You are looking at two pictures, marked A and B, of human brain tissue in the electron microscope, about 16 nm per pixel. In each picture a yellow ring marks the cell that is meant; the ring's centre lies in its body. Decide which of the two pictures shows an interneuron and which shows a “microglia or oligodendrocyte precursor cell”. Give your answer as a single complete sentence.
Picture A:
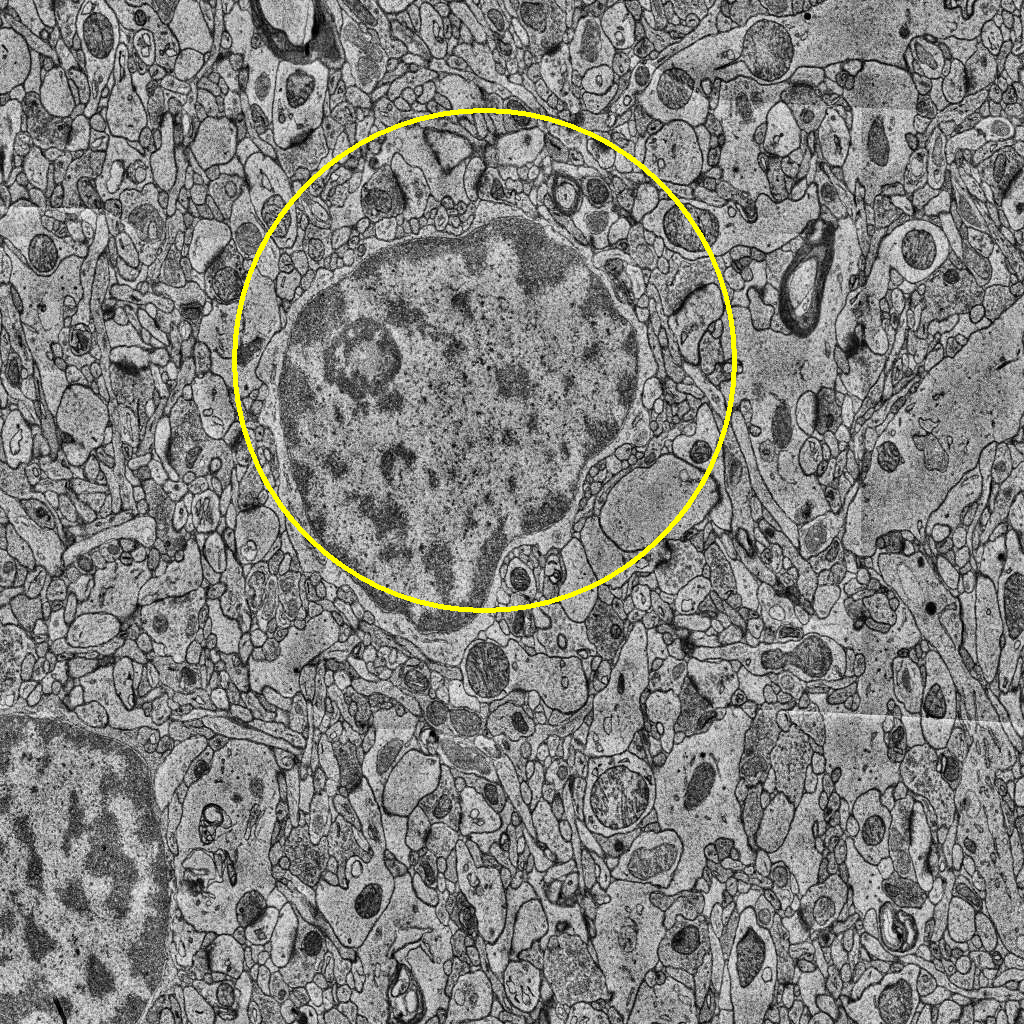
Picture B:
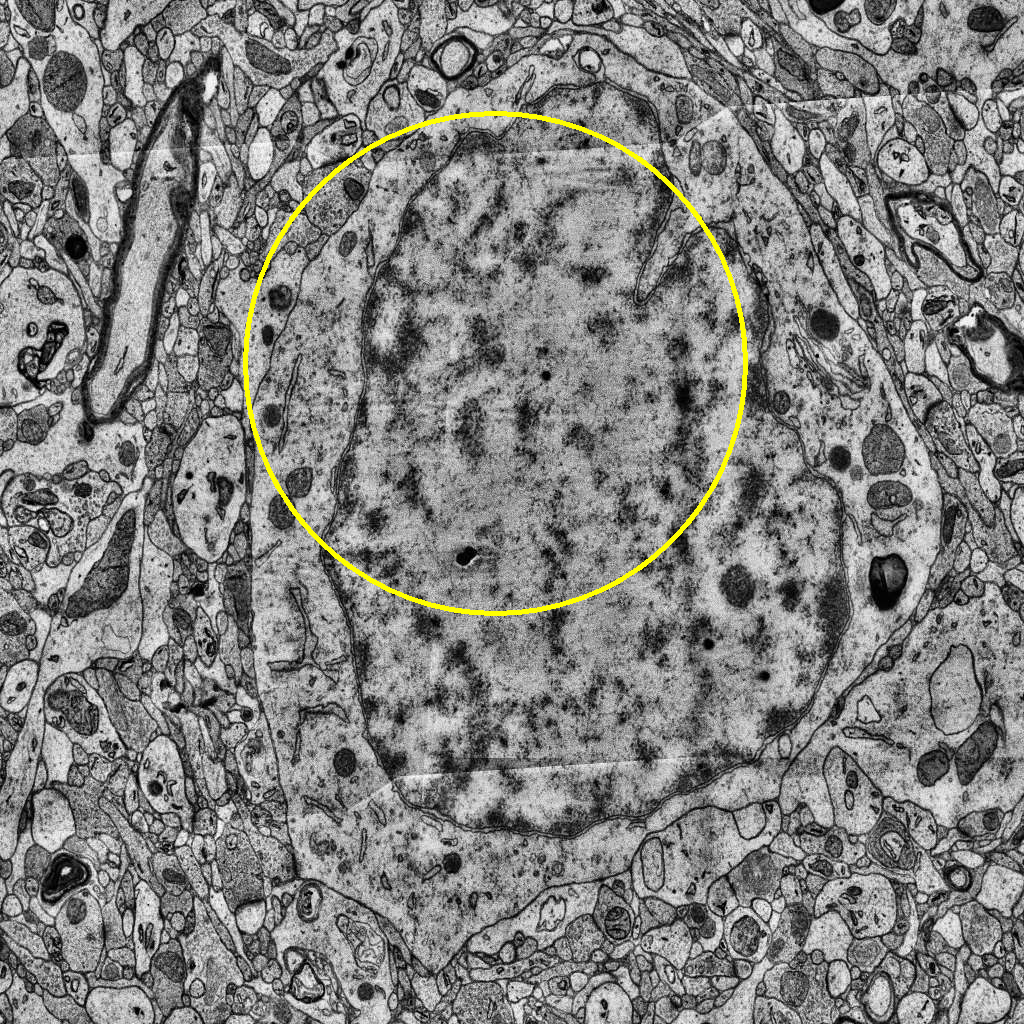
Picture A is of a “microglia or oligodendrocyte precursor cell”, and picture B is of an interneuron.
